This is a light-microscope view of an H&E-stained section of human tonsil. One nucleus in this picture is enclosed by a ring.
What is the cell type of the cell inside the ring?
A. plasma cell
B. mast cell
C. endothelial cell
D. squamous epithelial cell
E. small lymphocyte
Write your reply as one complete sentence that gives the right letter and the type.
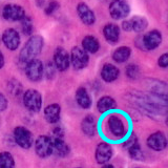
In this item, the cell inside the ring is a plasma cell, and option A is right.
